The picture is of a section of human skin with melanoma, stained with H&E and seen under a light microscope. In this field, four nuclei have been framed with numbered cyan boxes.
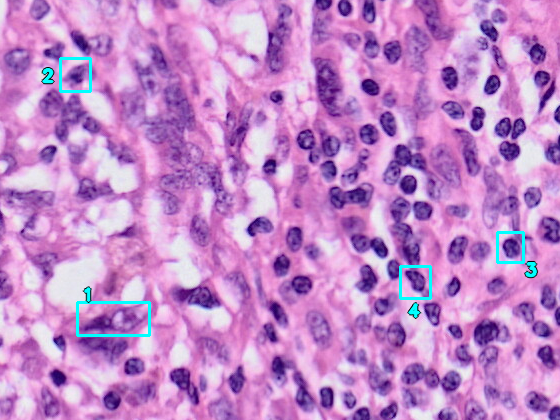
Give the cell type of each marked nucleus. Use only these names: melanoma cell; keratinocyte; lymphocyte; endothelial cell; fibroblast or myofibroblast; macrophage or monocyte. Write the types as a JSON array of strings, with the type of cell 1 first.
["melanoma cell", "lymphocyte", "lymphocyte", "lymphocyte"]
